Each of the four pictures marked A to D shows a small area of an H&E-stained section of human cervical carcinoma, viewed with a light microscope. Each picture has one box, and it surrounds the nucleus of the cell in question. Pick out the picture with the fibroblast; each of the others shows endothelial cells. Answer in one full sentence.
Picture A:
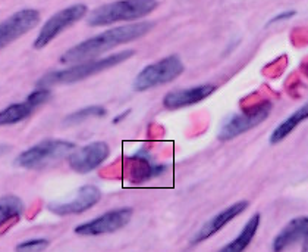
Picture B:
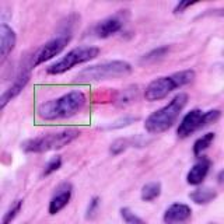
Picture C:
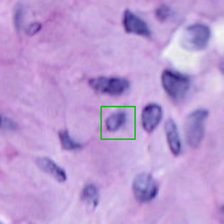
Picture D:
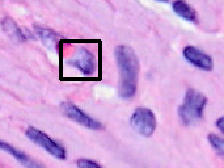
Picture C shows the fibroblast.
